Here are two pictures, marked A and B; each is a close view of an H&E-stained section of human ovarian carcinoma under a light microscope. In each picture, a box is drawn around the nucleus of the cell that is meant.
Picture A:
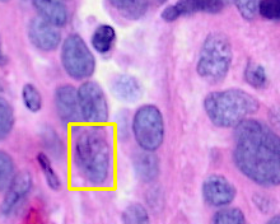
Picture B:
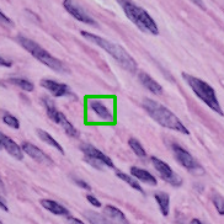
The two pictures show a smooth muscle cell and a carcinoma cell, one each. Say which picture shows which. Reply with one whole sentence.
It is picture A that shows a carcinoma cell, and picture B that shows a smooth muscle cell.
